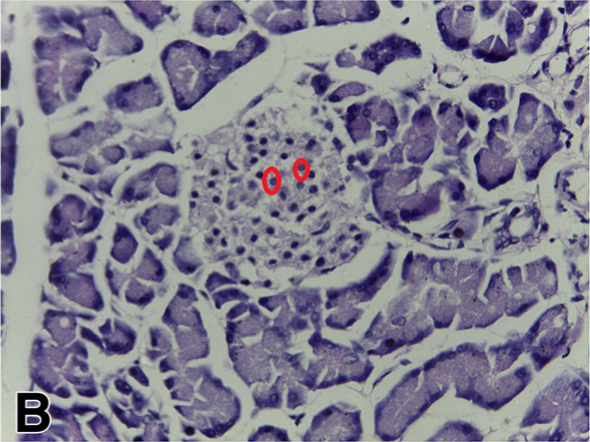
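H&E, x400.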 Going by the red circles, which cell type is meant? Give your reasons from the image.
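Islet cells. The circled cells lie within a rounded cluster of pale cells with small dark round nuclei. The cluster is surrounded by larger acinar cells with darker purple cytoplasm.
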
